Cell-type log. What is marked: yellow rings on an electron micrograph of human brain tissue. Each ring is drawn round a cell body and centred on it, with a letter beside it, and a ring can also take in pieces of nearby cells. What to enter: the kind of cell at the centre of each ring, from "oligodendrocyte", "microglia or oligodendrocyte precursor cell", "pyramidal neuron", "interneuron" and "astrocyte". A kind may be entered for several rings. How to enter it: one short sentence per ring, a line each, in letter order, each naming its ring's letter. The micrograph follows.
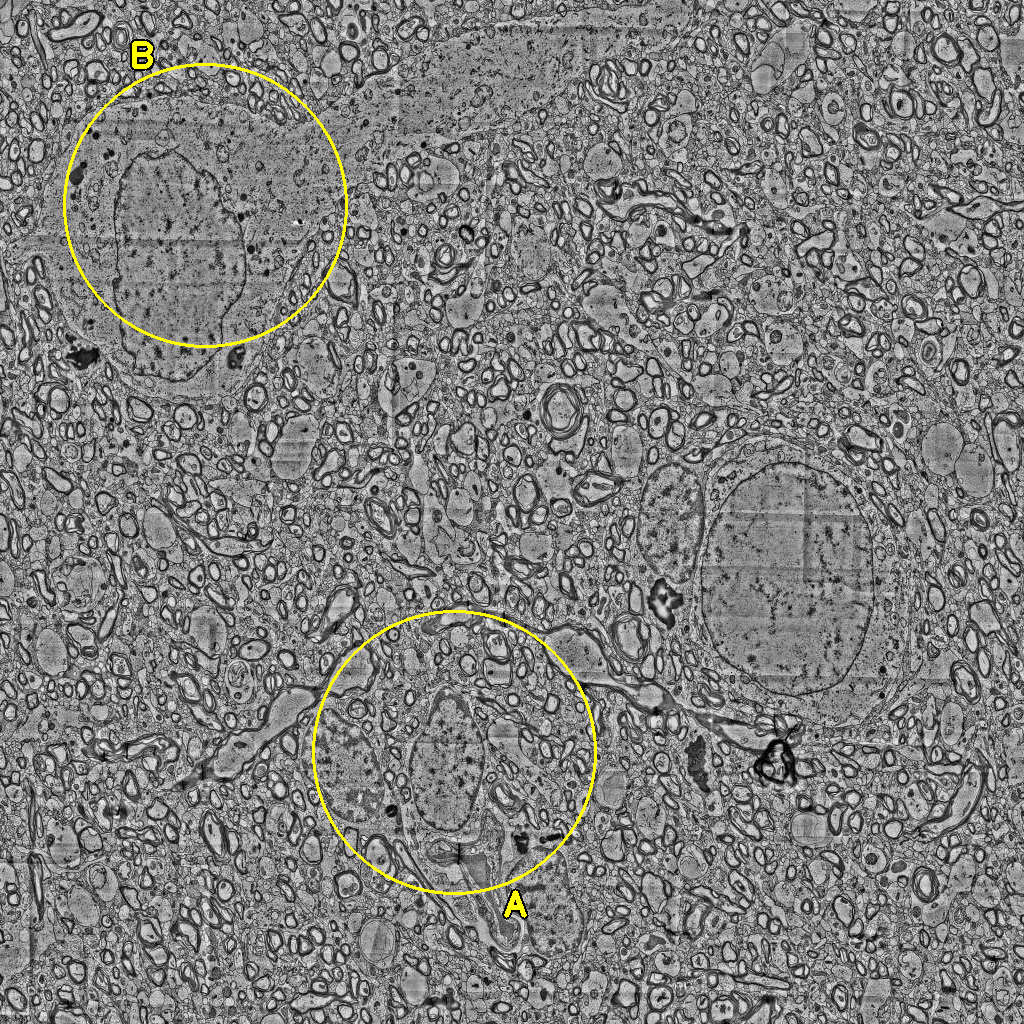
For ring A, the centre cell is a microglial cell or oligodendrocyte precursor cell.
For ring B, the centre cell is a pyramidal neuron.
